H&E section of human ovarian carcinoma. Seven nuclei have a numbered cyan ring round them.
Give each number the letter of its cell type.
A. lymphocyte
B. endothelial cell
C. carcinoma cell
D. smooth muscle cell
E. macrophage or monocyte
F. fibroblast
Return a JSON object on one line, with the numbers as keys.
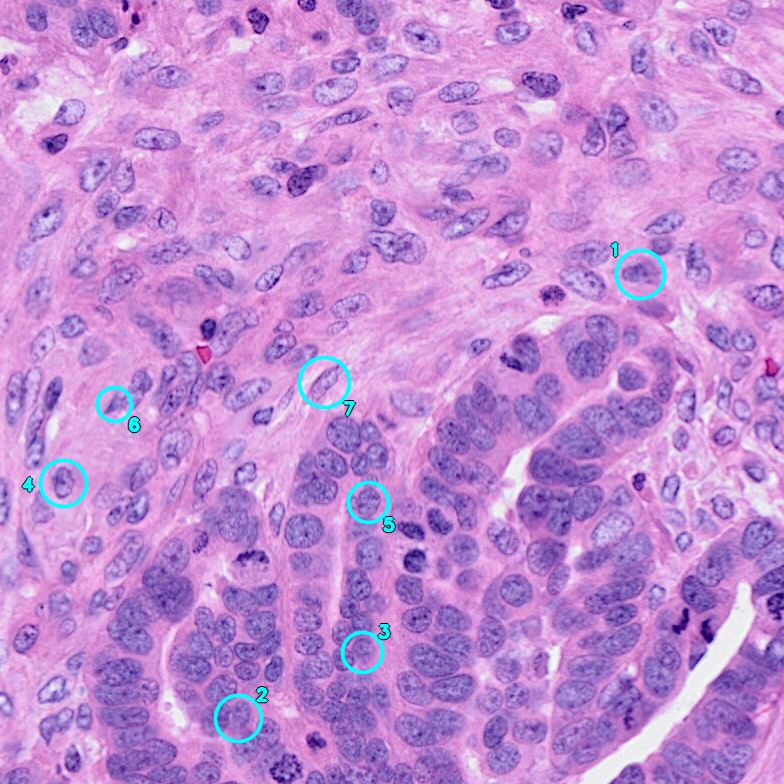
{"1": "F", "2": "C", "3": "C", "4": "F", "5": "C", "6": "F", "7": "F"}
